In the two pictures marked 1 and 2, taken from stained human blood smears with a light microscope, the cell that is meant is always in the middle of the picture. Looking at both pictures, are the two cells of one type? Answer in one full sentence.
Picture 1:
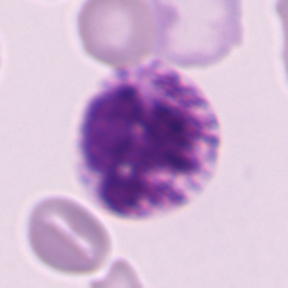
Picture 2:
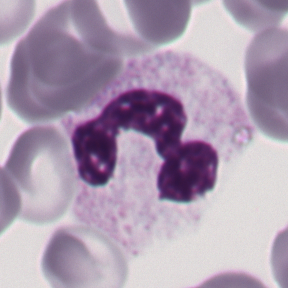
No, they differ: the cell is a basophil in picture 1 and a segmented neutrophil in picture 2.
